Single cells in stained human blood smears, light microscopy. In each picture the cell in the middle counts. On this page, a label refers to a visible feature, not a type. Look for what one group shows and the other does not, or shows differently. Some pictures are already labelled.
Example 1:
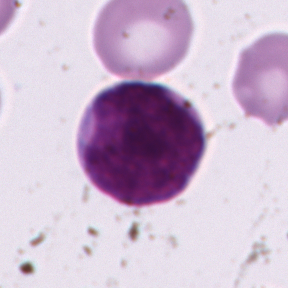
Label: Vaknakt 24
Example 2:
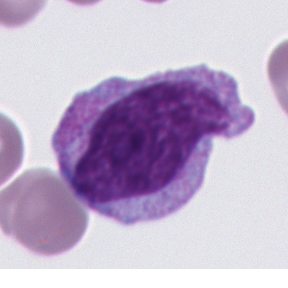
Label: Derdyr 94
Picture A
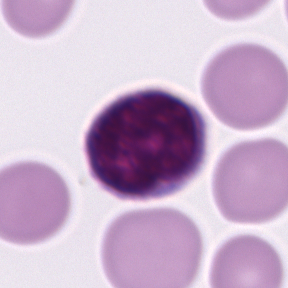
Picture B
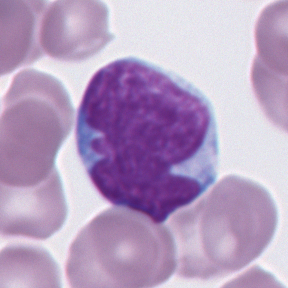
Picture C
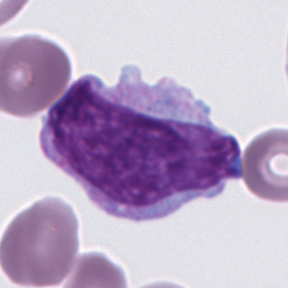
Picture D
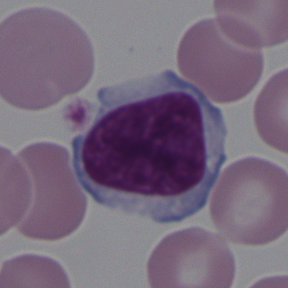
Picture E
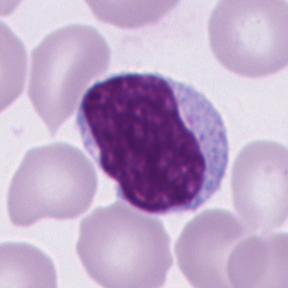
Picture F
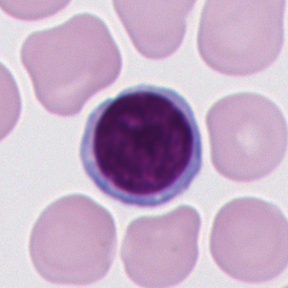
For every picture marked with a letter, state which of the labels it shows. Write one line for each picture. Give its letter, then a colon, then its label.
A: Vaknakt 24
B: Vaknakt 24
C: Derdyr 94
D: Derdyr 94
E: Vaknakt 24
F: Vaknakt 24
